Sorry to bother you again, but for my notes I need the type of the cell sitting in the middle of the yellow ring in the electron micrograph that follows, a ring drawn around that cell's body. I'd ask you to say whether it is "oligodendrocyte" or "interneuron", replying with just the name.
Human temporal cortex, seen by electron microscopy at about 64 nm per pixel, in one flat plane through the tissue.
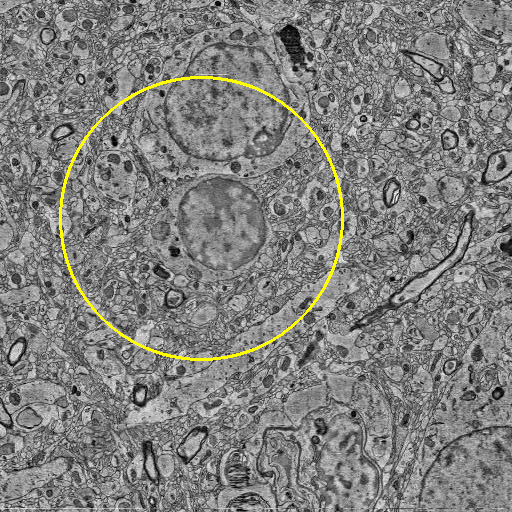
oligodendrocyte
